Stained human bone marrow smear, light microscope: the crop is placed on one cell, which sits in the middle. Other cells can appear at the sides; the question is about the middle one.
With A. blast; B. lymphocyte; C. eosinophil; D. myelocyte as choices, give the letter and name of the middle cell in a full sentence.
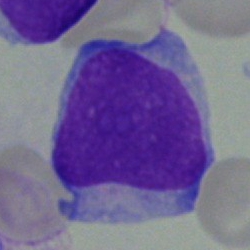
The cell centered in the crop is a blast, making option A the correct pick.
